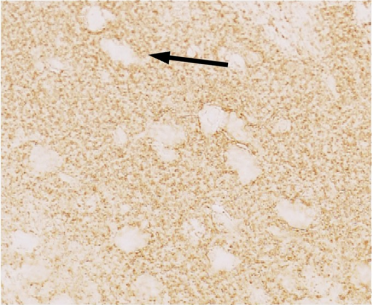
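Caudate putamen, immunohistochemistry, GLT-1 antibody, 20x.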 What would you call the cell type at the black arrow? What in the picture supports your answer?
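The arrow points to a pale unstained rounded space. The space is surrounded by fine granular brown staining.
Neuronal cells.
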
